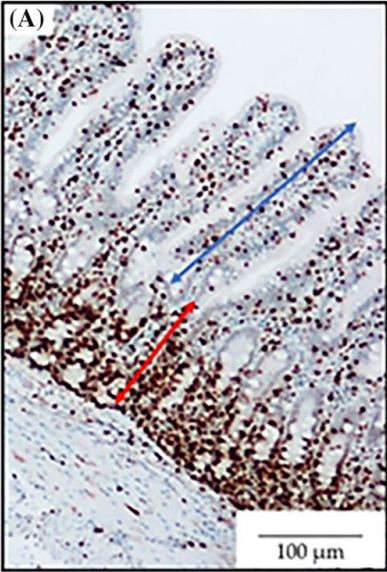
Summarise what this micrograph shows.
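This is a section of small intestinal wall showing tall finger-like villi projecting into the lumen and the crypts at their bases. Each villus is covered by a single layer of columnar epithelium with pale blue nuclei, and its core of lamina propria holds scattered brown-stained nuclei. At the base, the crypts form a dense band crowded with dark brown nuclei, sharply contrasting with the paler villi above. Below the crypts lies a pale, loosely textured layer of connective tissue and muscle with few brown nuclei. The villi are long and slender, and the crypt band is comparatively shallow.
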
